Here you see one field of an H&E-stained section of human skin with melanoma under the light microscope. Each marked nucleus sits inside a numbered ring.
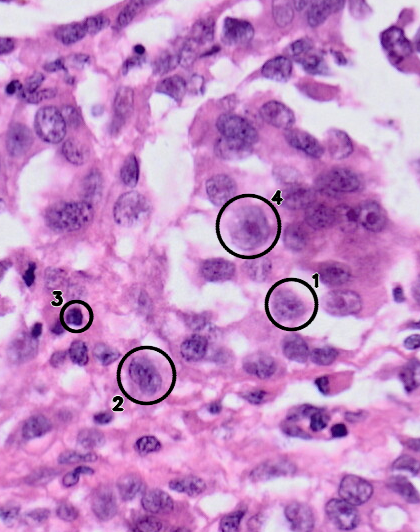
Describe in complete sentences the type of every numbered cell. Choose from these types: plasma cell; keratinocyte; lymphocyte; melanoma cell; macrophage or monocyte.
Cell 1 is a melanoma cell, cell 2 is a melanoma cell, cell 3 is a lymphocyte and cell 4 is a melanoma cell.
